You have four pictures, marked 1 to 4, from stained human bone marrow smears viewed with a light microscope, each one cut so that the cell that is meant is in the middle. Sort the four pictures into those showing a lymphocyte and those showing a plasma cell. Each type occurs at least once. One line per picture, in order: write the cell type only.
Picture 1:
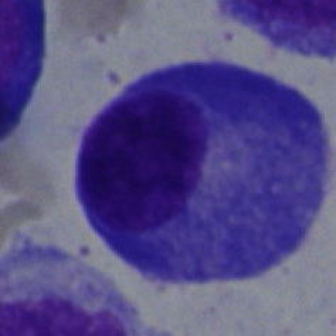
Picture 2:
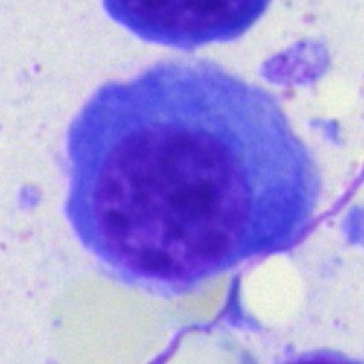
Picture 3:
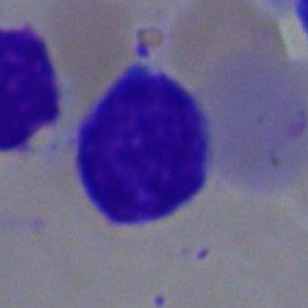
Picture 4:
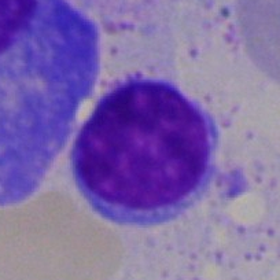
plasma cell
plasma cell
lymphocyte
lymphocyte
